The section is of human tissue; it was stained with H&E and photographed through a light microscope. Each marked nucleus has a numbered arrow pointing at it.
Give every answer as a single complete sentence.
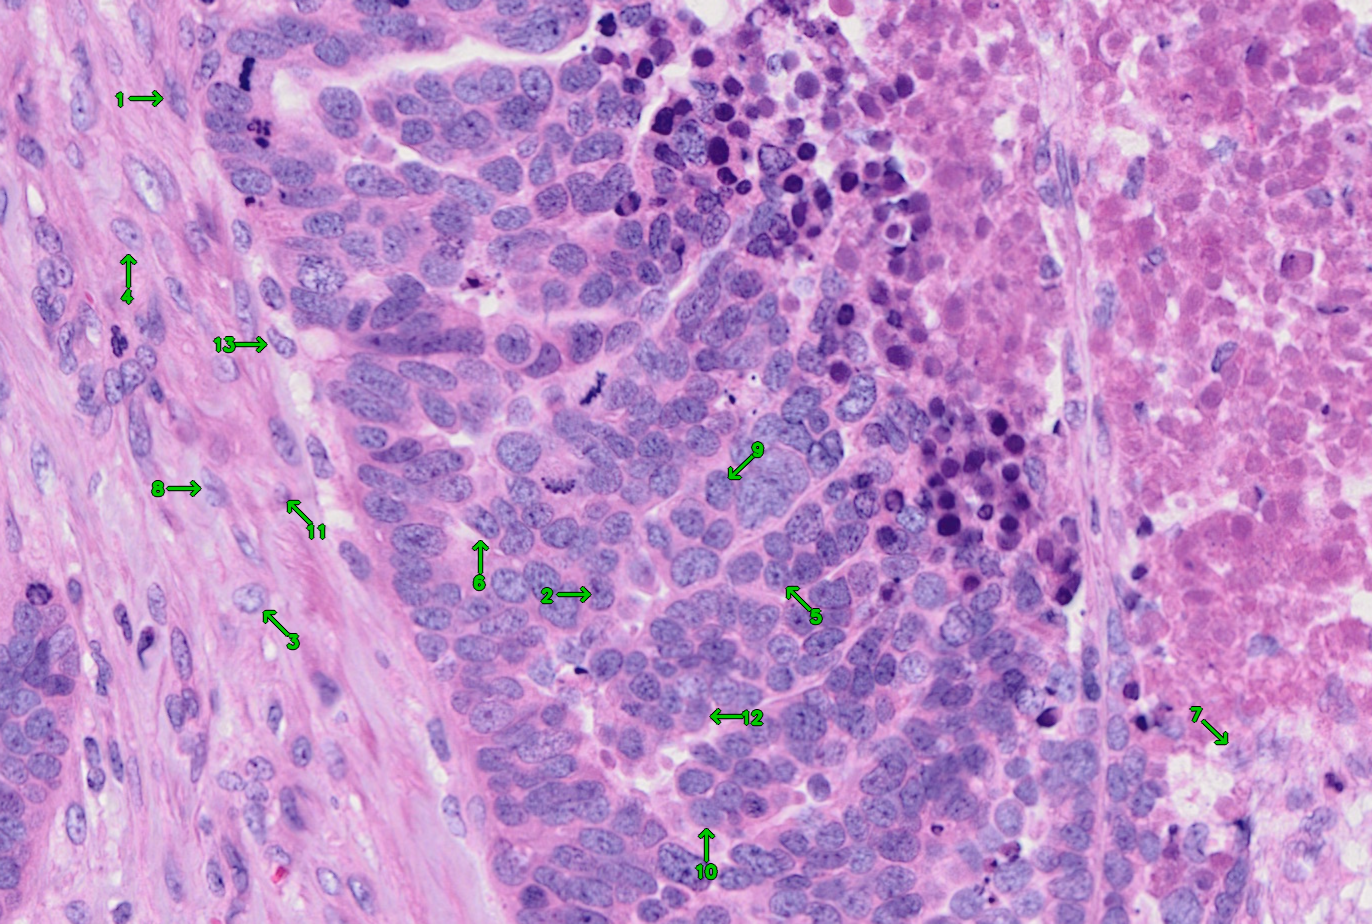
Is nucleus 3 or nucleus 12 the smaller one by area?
Number 12 is smaller, since number 3 takes up about 1.5 times as much area.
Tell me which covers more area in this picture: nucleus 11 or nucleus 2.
At about 2.5 times the area of nucleus 11, nucleus 2 is the larger of the two.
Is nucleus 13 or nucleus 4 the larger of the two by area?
It is nucleus 4, which covers about 1.5 times the area of nucleus 13.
